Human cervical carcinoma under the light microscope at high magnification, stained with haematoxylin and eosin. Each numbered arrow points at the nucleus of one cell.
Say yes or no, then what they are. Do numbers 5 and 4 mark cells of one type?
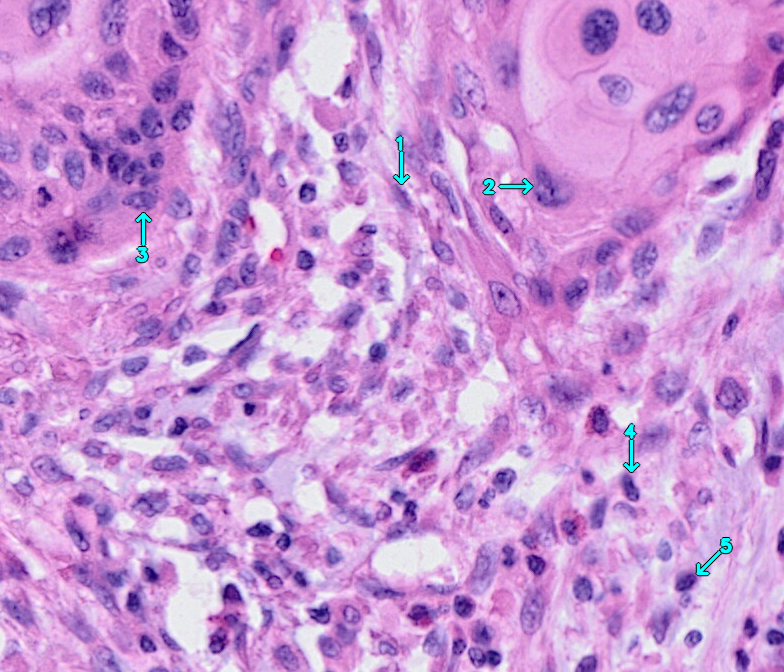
Yes, that cells 5 and 4 are both lymphocytes holds true.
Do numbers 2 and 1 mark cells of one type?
No, cell 1 is a fibroblast, and cell 2 is a squamous carcinoma cell.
